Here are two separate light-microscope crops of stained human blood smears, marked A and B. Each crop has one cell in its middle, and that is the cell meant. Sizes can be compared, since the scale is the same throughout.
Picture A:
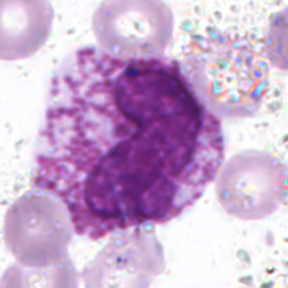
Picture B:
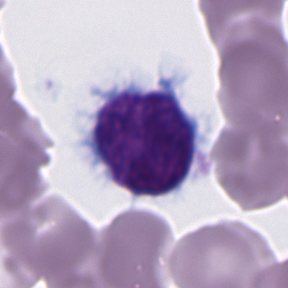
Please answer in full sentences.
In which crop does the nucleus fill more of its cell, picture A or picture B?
The nucleus fills more of the cell in picture B than in picture A.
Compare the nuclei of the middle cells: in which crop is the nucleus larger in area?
Larger is the nucleus in picture A, at roughly 1.5 times the area of the other.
